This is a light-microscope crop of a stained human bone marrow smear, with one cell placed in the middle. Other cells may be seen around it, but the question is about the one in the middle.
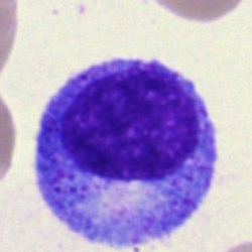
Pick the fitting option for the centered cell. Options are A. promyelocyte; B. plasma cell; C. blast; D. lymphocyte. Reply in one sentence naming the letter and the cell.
Correctly, option A names the cell in the middle a promyelocyte.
